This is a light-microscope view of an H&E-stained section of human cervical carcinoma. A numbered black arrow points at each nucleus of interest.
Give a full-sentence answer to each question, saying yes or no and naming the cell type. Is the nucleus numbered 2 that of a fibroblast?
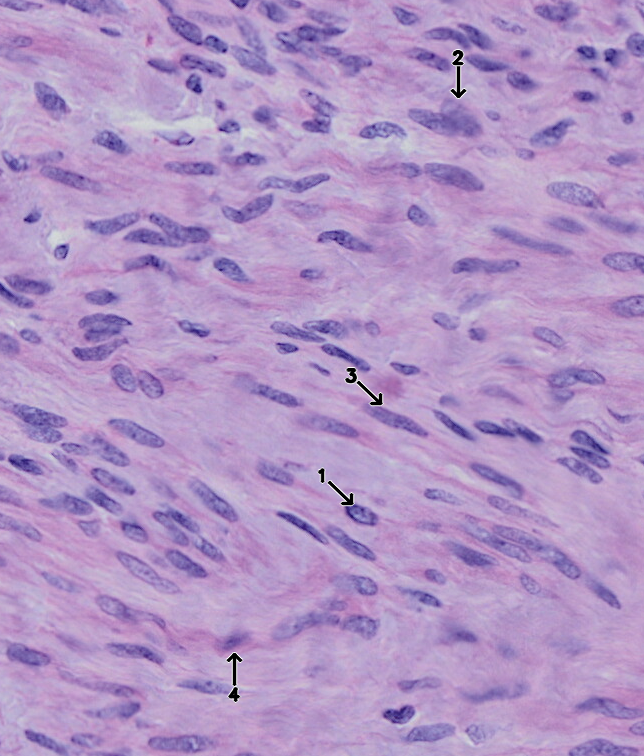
Yes, cell number 2 is classified as a fibroblast.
